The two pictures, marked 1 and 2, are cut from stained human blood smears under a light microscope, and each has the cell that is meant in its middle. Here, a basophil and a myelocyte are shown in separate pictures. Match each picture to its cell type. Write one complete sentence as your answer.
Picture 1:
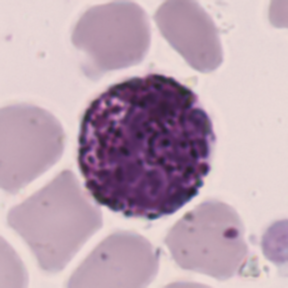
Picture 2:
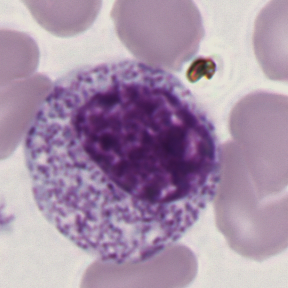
The cell in picture 1 is a basophil, and the one in picture 2 is a myelocyte.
